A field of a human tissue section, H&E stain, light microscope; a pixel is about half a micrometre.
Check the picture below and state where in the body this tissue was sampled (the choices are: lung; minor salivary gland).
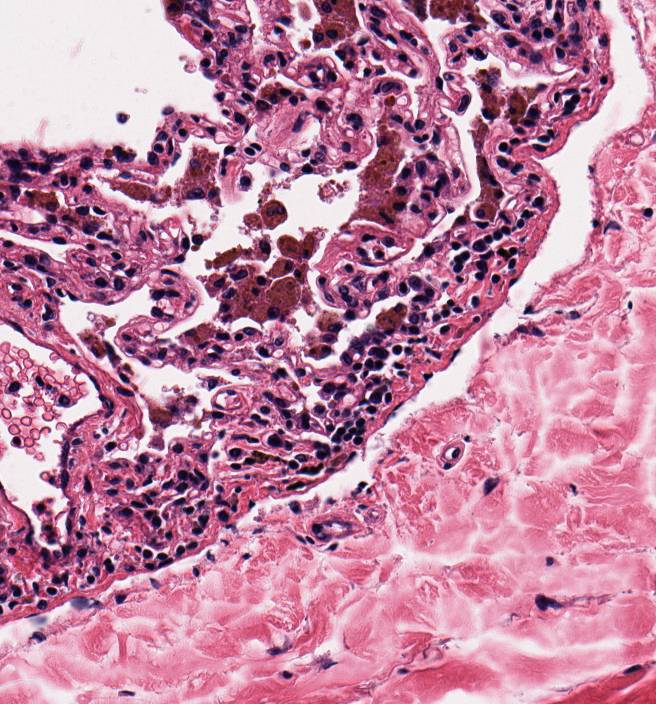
lung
